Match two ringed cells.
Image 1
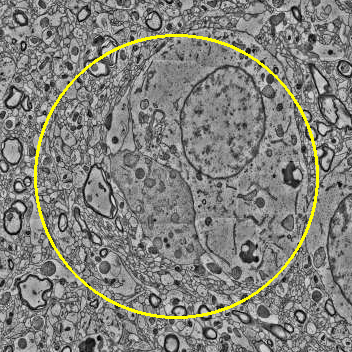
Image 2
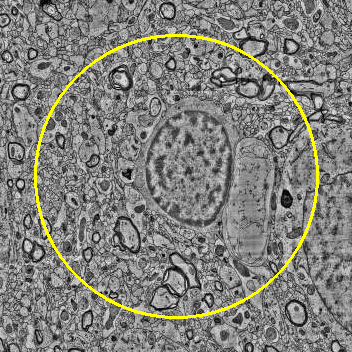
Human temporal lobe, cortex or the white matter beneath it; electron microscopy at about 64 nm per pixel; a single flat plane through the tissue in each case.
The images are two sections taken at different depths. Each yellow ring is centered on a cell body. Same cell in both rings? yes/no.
yes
